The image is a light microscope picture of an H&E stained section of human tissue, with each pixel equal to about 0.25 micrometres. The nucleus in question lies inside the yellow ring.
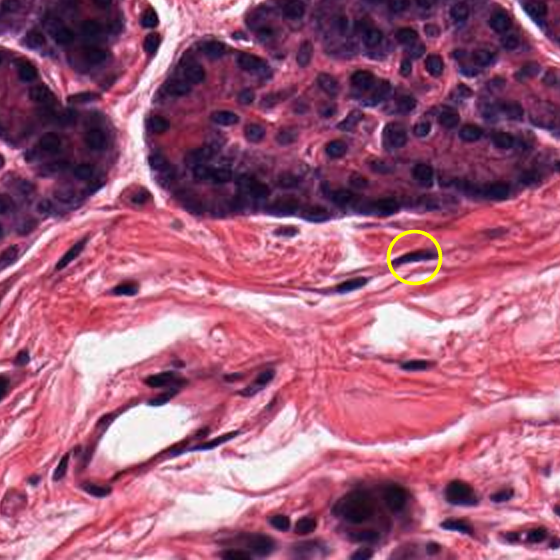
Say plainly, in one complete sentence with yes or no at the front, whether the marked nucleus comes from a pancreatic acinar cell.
No, the marked nucleus belongs to a supporting cell, not to a pancreatic acinar cell.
